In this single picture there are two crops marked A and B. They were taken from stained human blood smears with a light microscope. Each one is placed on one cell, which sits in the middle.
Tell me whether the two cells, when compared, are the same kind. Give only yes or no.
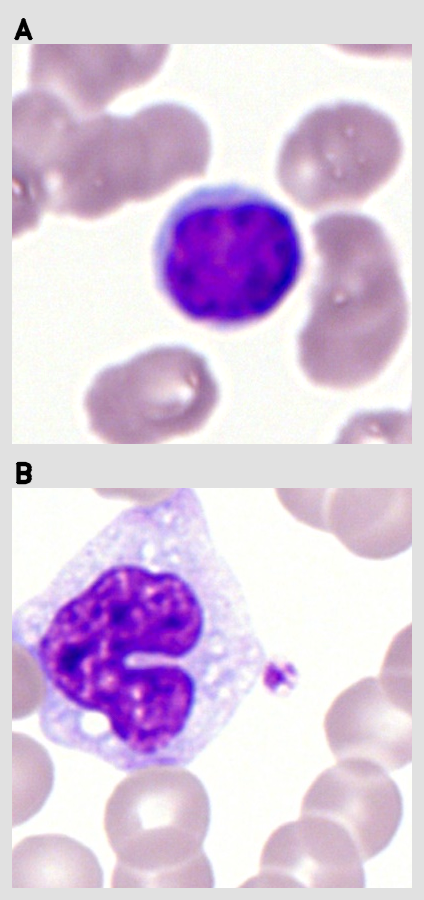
no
